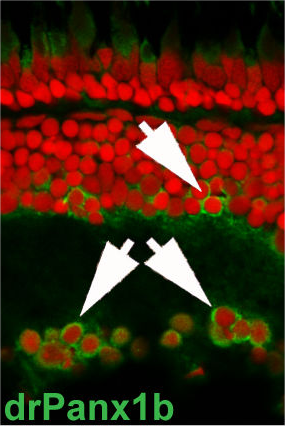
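This is a fluorescent section of a retina in which red nuclei form stacked rows separated by darker bands. At the top are photoreceptors with elongated red nuclei and faint green outer segments, above a thin dark band and a thick layer of tightly packed round red nuclei, the inner nuclear layer. Some cells in the lowest part of that layer are outlined by a thin green rim around their red nuclei. Below lies a broad dark inner plexiform layer with only a faint green haze. At the bottom, round cells of the ganglion cell layer show bright green rings surrounding their nuclei.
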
